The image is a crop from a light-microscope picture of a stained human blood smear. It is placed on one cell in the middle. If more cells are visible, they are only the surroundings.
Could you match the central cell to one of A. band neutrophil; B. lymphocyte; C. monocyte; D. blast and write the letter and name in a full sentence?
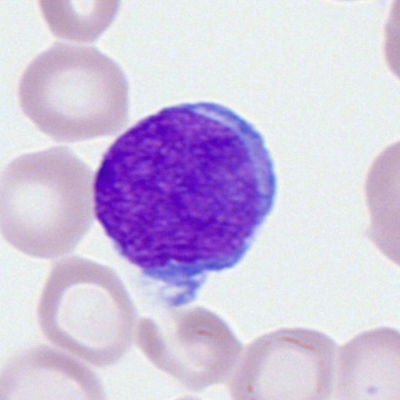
The cell right in the middle is a blast, so option D is the one.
